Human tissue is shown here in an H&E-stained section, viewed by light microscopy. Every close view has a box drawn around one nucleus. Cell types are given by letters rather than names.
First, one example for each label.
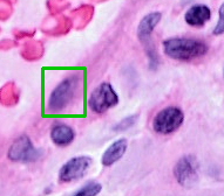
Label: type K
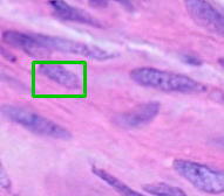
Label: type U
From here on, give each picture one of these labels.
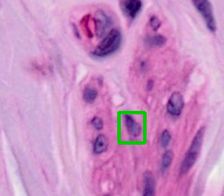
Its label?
type U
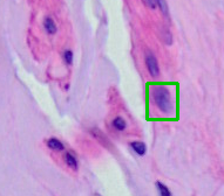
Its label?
type U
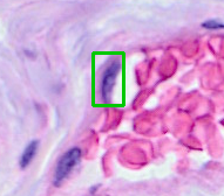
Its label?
type K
